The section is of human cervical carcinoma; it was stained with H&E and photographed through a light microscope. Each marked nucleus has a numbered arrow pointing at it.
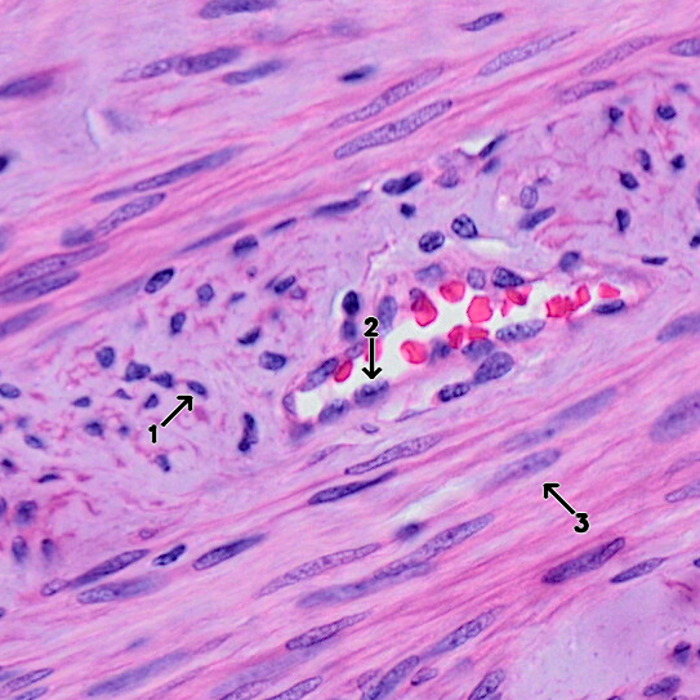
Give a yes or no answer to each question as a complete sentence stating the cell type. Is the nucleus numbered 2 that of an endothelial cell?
Yes, among the marked cells, the one with number 2 is an endothelial cell.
